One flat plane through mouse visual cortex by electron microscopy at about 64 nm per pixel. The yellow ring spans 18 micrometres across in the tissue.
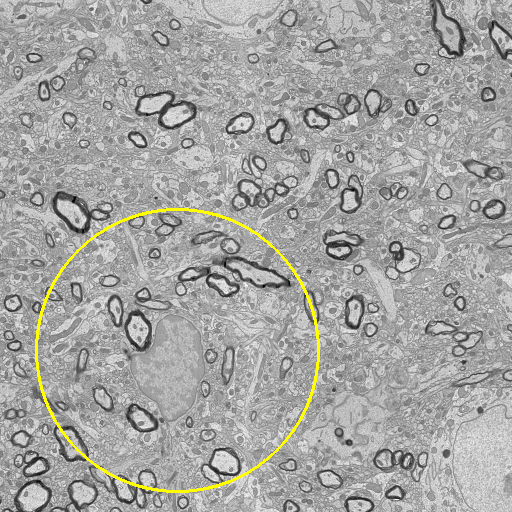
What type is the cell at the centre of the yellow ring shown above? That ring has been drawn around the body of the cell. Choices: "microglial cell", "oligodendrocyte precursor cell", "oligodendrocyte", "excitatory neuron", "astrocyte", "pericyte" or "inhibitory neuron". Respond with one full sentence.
My answer is that a microglial cell lies at the centre of the yellow ring above.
